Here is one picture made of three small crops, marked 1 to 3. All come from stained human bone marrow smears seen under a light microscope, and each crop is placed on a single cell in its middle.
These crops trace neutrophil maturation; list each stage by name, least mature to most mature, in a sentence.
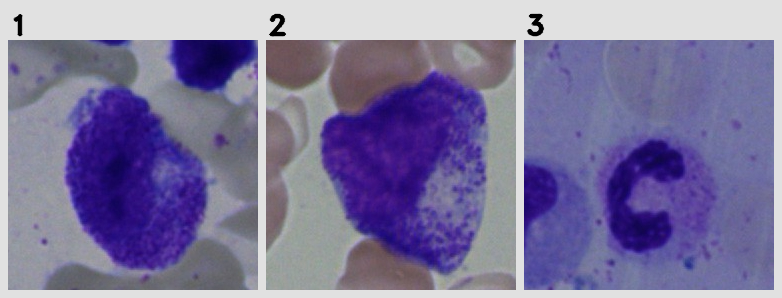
Arranged by increasing maturity, the crops are crop 1 (a promyelocyte), crop 2 (a myelocyte) and crop 3 (a band neutrophil).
